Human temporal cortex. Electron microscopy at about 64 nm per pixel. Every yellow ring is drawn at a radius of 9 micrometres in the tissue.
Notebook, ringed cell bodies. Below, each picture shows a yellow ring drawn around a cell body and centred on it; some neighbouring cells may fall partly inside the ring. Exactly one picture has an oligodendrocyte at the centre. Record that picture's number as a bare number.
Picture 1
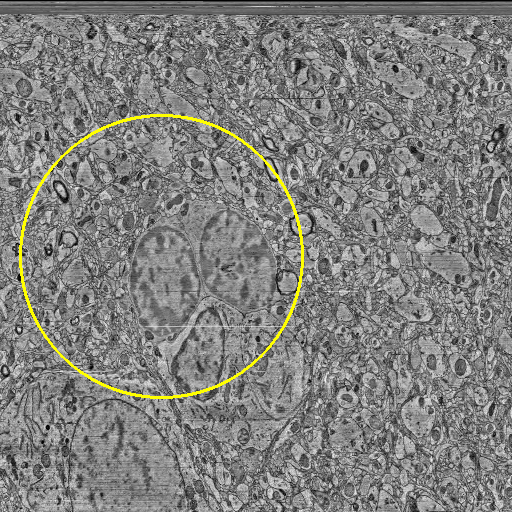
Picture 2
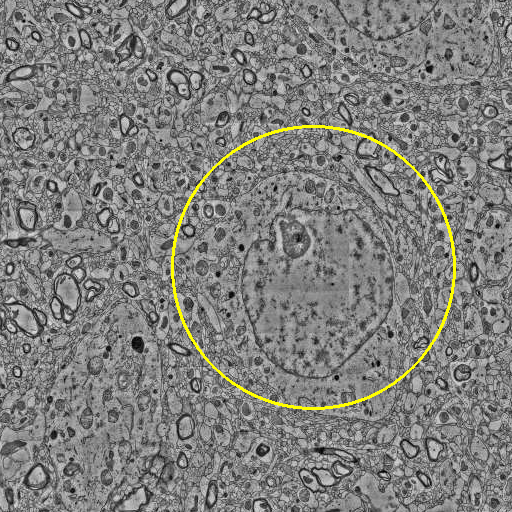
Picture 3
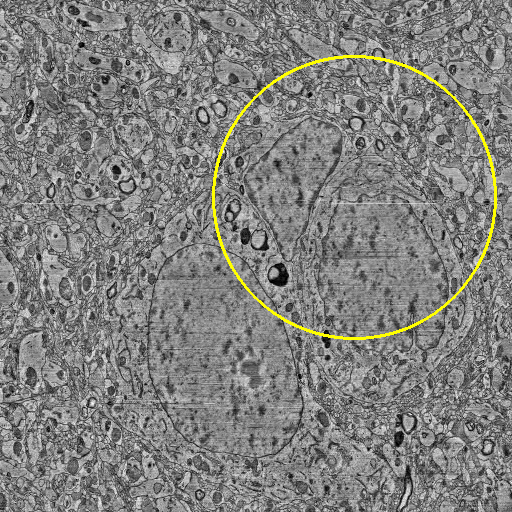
1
